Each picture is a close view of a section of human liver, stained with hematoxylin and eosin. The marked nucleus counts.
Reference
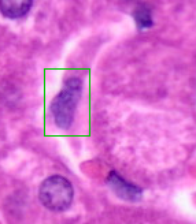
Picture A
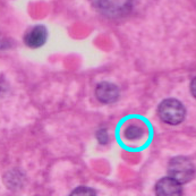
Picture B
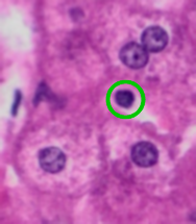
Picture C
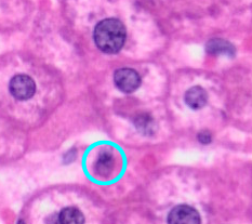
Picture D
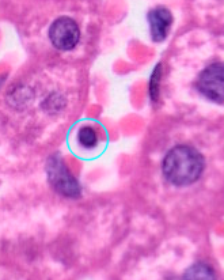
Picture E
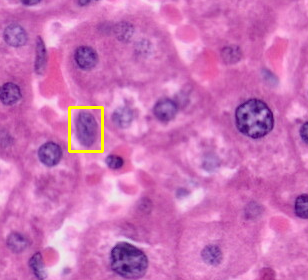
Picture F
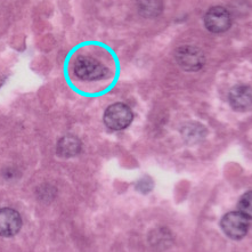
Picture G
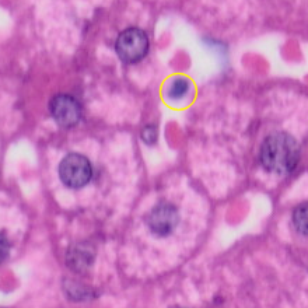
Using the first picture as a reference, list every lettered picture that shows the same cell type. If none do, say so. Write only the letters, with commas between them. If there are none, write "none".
C, E, F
